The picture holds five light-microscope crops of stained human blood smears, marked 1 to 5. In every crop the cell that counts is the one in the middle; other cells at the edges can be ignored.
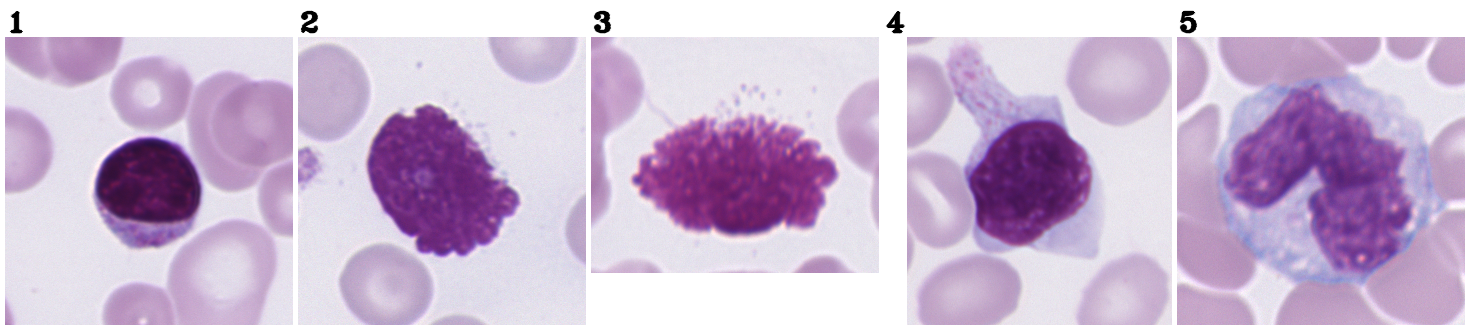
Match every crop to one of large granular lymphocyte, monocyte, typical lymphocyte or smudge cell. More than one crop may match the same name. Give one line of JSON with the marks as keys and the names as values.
{"1": "large granular lymphocyte", "2": "smudge cell", "3": "smudge cell", "4": "large granular lymphocyte", "5": "monocyte"}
